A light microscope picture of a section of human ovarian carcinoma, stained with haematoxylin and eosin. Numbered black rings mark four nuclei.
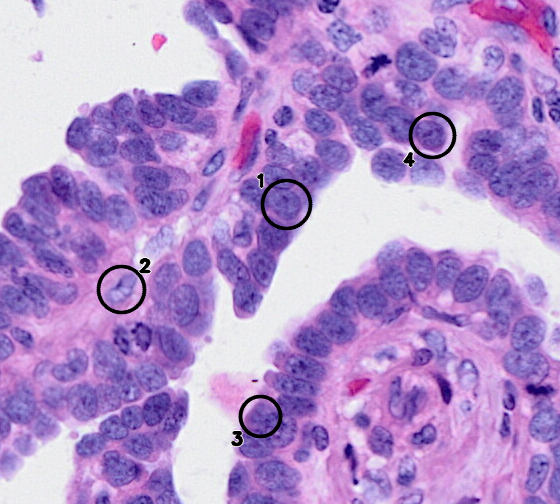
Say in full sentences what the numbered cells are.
Cell 1 is a carcinoma cell, cell 2 is a fibroblast, cell 3 is a carcinoma cell and cell 4 is a carcinoma cell.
